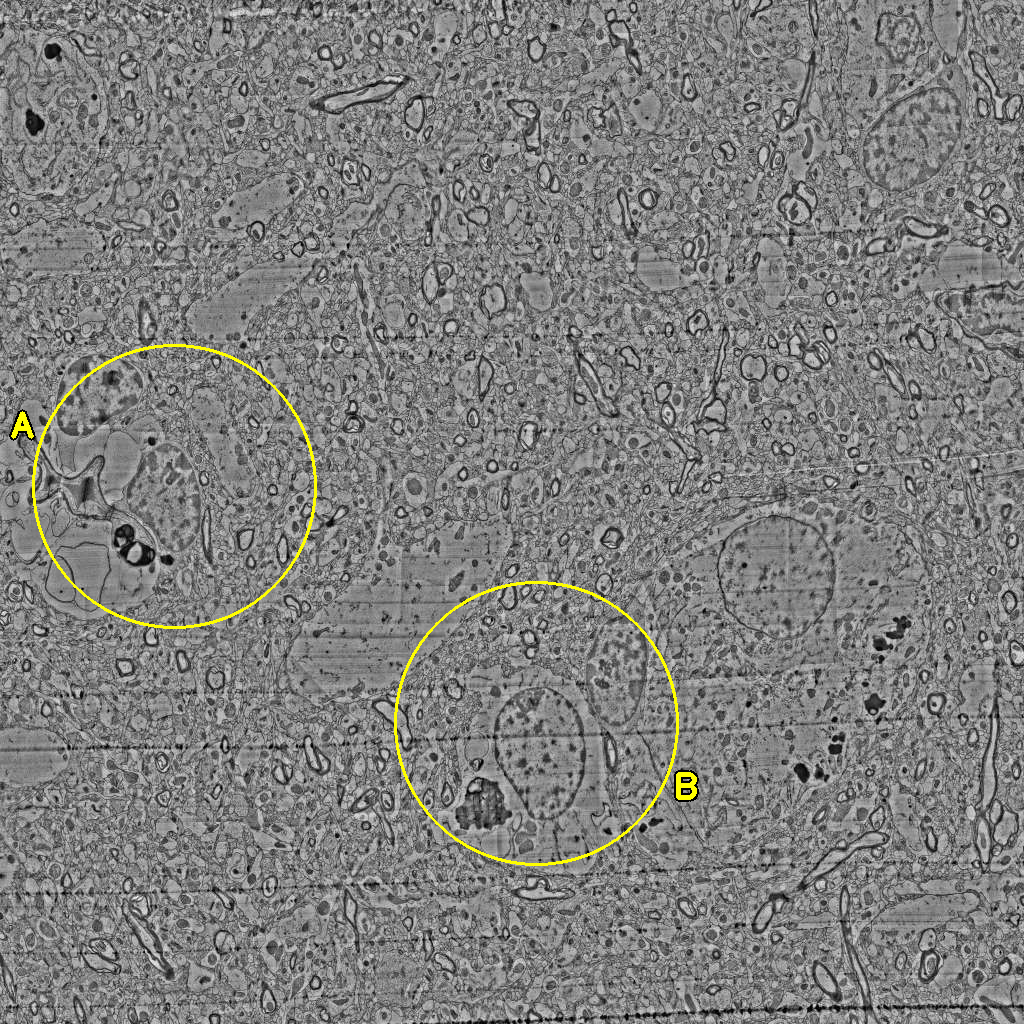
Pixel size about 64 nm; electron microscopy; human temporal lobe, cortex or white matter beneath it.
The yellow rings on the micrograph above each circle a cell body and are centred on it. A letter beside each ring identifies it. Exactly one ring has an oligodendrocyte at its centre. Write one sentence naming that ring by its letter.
Ring A is the one.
